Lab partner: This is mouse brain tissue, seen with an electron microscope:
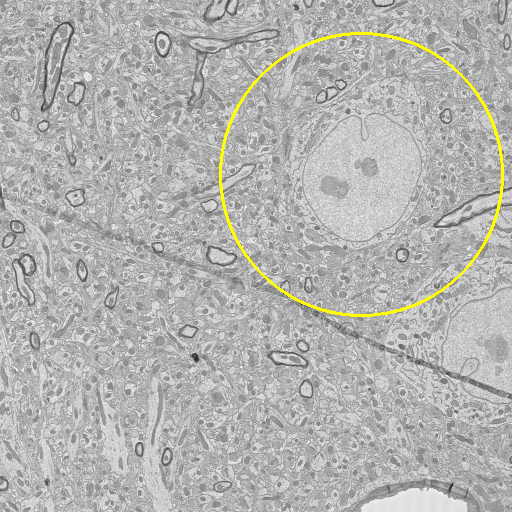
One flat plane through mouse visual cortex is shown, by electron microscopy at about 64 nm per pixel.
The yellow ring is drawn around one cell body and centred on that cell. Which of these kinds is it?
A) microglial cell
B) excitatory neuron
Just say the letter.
B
